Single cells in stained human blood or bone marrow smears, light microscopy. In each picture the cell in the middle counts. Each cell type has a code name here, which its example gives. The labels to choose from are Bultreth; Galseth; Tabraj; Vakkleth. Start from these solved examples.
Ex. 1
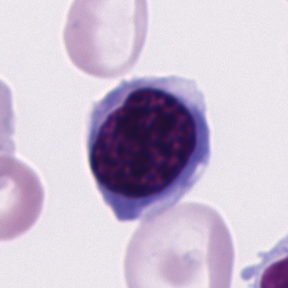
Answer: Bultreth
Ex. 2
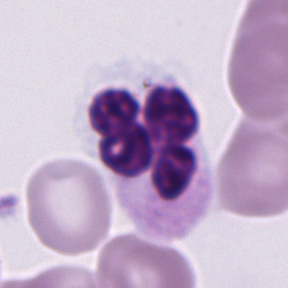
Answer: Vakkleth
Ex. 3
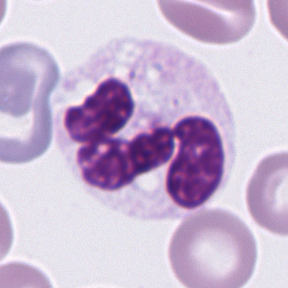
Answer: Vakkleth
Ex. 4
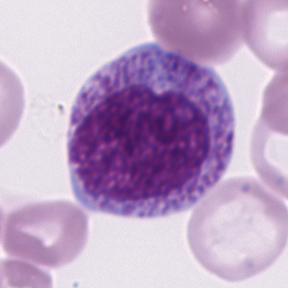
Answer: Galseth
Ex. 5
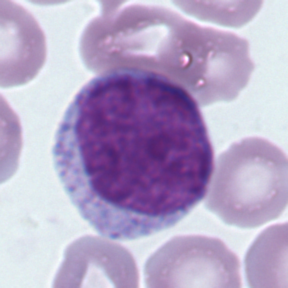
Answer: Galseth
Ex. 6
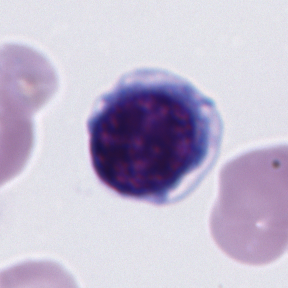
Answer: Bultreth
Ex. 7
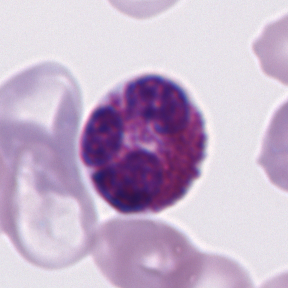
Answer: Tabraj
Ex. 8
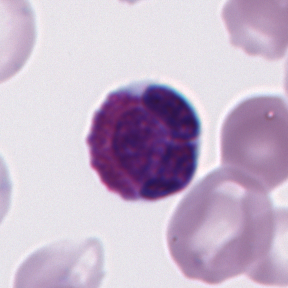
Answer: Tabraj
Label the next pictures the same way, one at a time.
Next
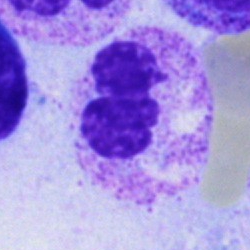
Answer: Vakkleth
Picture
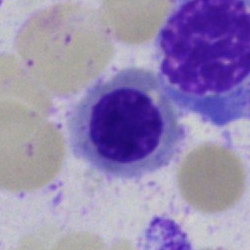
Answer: Bultreth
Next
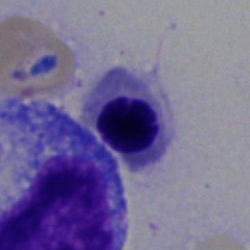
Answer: Bultreth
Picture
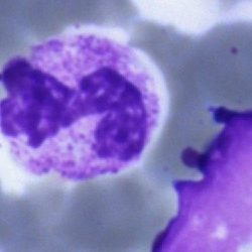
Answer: Vakkleth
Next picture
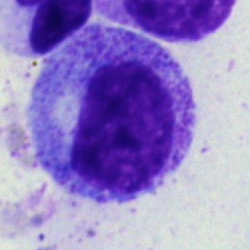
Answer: Galseth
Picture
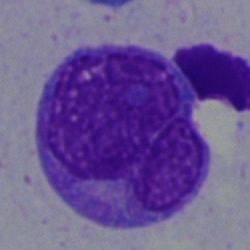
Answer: Galseth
